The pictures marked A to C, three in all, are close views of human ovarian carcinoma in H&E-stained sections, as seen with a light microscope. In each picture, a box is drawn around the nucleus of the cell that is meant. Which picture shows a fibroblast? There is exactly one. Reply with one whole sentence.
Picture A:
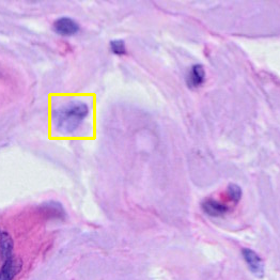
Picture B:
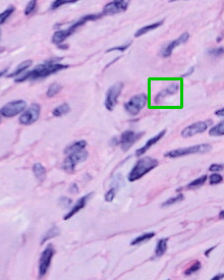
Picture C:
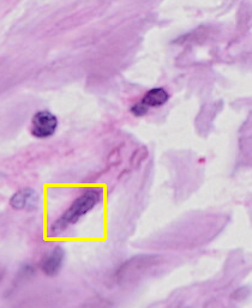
The fibroblast is the one in picture A.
